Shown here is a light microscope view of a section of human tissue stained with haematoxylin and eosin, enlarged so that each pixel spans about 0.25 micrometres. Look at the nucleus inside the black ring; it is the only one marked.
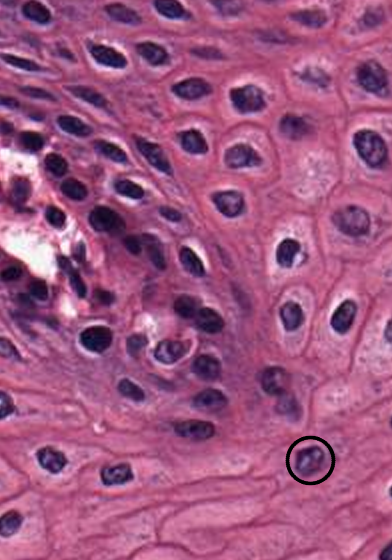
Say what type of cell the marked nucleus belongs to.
squamous epithelial cell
